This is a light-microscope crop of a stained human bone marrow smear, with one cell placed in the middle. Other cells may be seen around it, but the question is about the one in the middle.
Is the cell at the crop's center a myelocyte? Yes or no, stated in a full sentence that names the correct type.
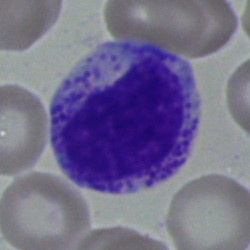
Yes, the cell at the middle of the field is to be classed as a myelocyte.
